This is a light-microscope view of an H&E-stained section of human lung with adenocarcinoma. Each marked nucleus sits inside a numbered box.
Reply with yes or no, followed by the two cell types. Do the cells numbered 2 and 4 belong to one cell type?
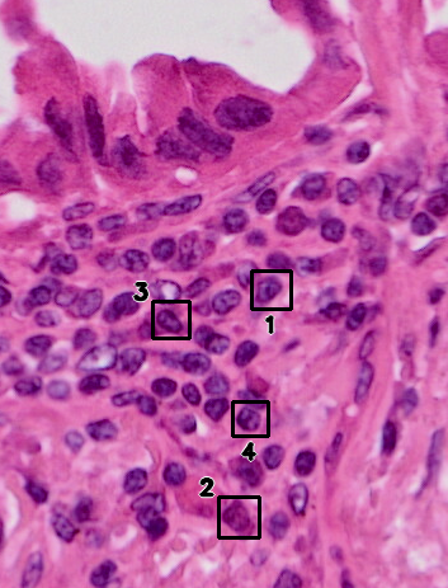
No, cell 2 is classed as a plasma cell and cell 4 as a lymphocyte.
